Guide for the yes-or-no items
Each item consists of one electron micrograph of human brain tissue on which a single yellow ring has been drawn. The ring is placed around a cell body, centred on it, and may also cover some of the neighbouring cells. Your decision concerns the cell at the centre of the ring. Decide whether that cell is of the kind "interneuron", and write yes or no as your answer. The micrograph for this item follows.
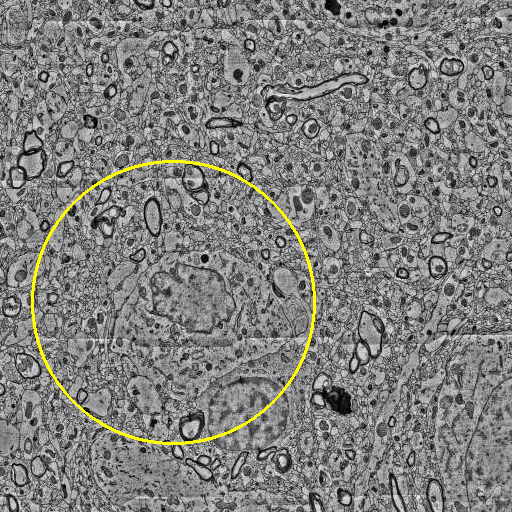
yes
